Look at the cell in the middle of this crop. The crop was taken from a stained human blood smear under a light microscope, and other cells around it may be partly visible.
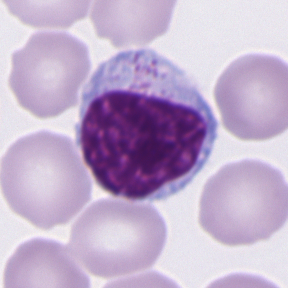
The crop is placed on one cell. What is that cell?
large granular lymphocyte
